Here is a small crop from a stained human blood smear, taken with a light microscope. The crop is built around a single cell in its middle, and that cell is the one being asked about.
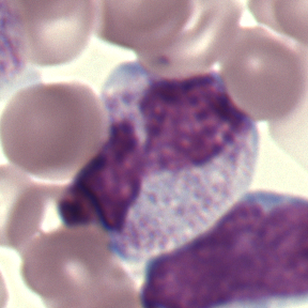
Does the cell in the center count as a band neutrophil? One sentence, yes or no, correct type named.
Yes, the cell of interest in the middle is a band neutrophil.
